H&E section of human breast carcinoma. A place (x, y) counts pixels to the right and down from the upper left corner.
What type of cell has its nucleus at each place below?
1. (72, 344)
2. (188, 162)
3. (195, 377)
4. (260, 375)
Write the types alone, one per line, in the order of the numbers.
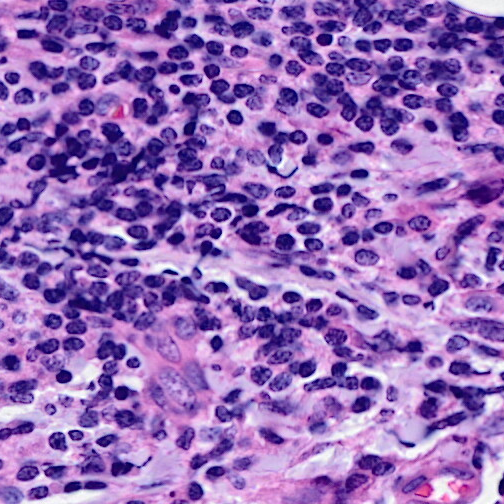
lymphocyte
lymphocyte
endothelial cell
lymphocyte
